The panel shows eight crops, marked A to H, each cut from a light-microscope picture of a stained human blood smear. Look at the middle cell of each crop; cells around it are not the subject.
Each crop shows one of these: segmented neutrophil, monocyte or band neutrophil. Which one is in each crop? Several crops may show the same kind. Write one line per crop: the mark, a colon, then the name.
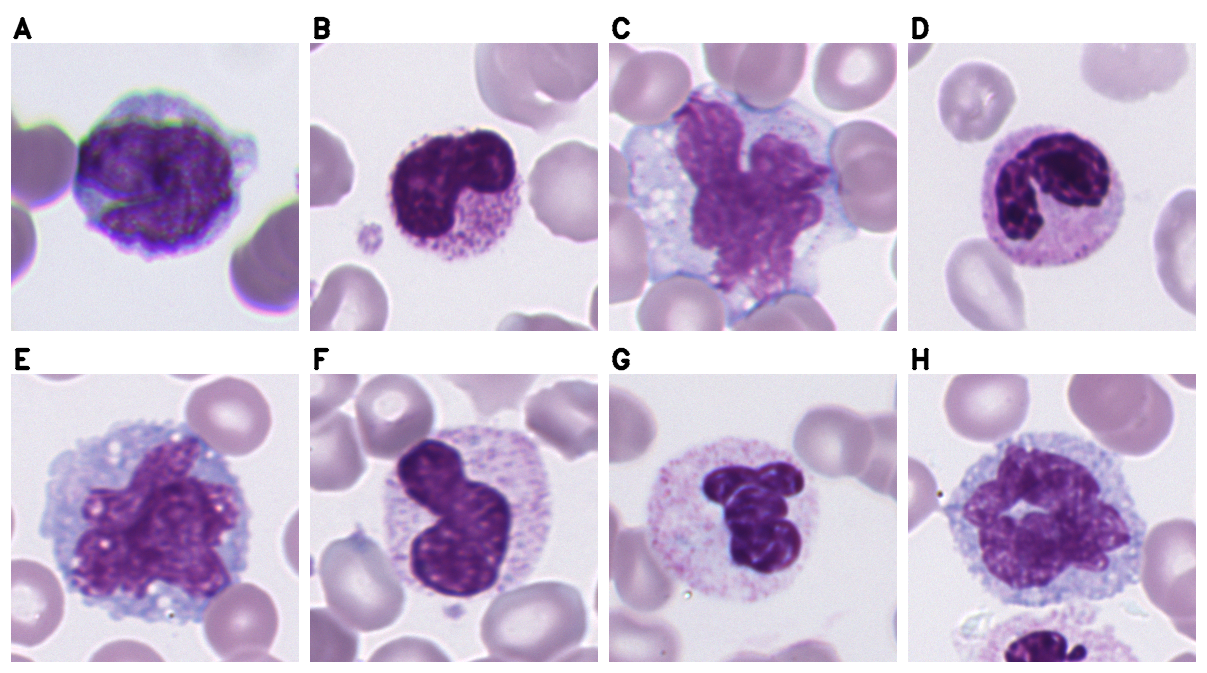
A: monocyte
B: band neutrophil
C: monocyte
D: segmented neutrophil
E: monocyte
F: band neutrophil
G: segmented neutrophil
H: monocyte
